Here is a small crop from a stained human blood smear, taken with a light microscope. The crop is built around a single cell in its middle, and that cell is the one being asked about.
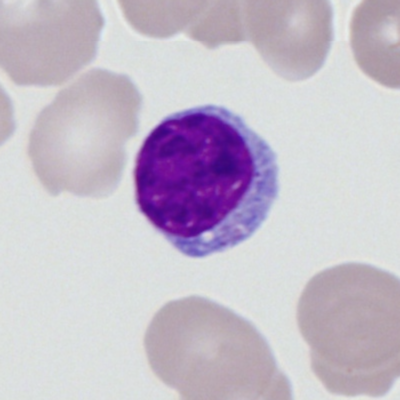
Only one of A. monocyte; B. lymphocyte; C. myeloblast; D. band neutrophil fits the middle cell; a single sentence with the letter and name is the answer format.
What option B states is correct, the central cell being a lymphocyte.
